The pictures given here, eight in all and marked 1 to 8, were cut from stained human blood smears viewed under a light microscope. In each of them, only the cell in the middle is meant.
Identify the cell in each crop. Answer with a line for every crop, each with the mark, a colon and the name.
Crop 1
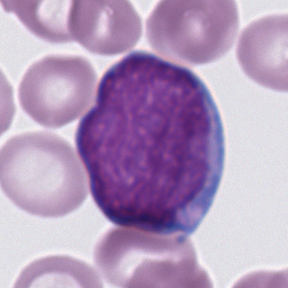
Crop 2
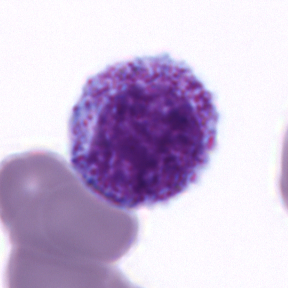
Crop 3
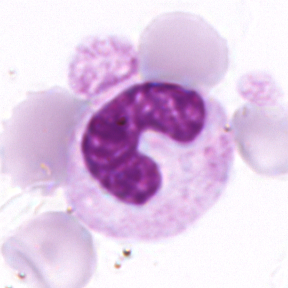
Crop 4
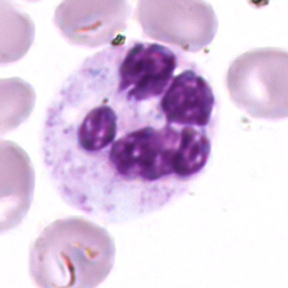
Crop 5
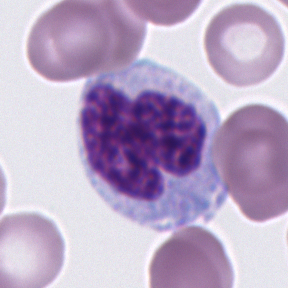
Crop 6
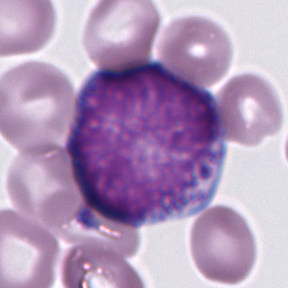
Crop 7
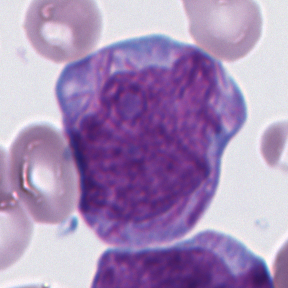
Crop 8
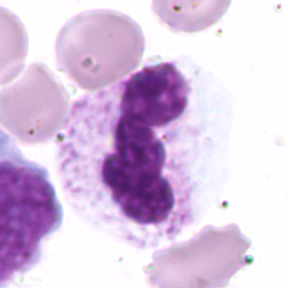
1: myeloblast
2: myelocyte
3: band neutrophil
4: segmented neutrophil
5: monocyte
6: myeloblast
7: atypical promyelocyte
8: segmented neutrophil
